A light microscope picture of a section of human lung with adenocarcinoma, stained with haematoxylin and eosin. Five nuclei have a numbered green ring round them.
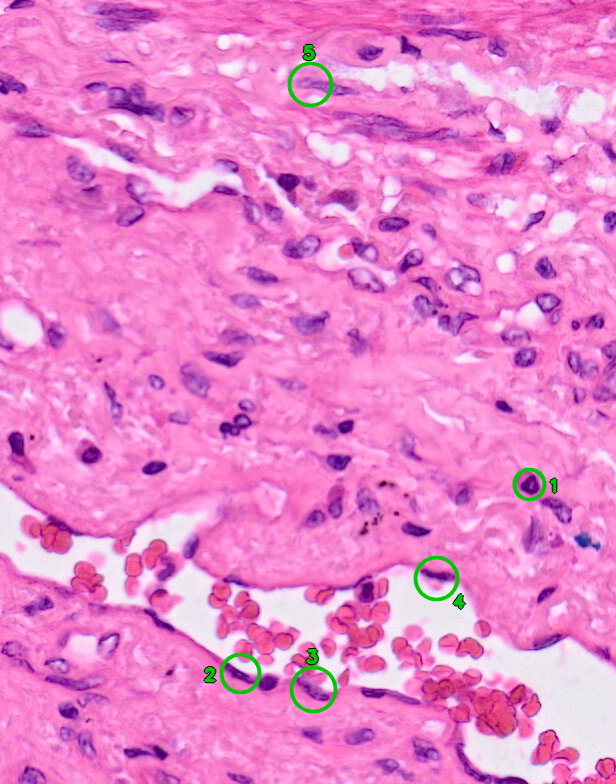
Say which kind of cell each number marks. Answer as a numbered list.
1. plasma cell
2. endothelial cell
3. endothelial cell
4. endothelial cell
5. smooth muscle cell or pericyte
